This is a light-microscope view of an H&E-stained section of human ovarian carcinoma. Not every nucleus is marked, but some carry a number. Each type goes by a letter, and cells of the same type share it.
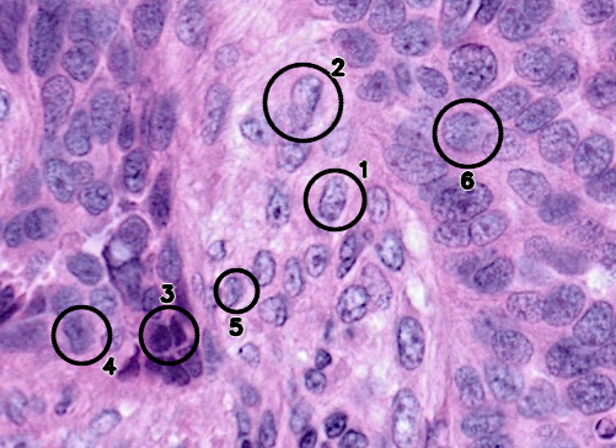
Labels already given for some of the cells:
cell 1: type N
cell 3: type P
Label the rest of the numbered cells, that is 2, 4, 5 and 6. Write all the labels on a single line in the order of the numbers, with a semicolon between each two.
type N; type P; type N; type P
